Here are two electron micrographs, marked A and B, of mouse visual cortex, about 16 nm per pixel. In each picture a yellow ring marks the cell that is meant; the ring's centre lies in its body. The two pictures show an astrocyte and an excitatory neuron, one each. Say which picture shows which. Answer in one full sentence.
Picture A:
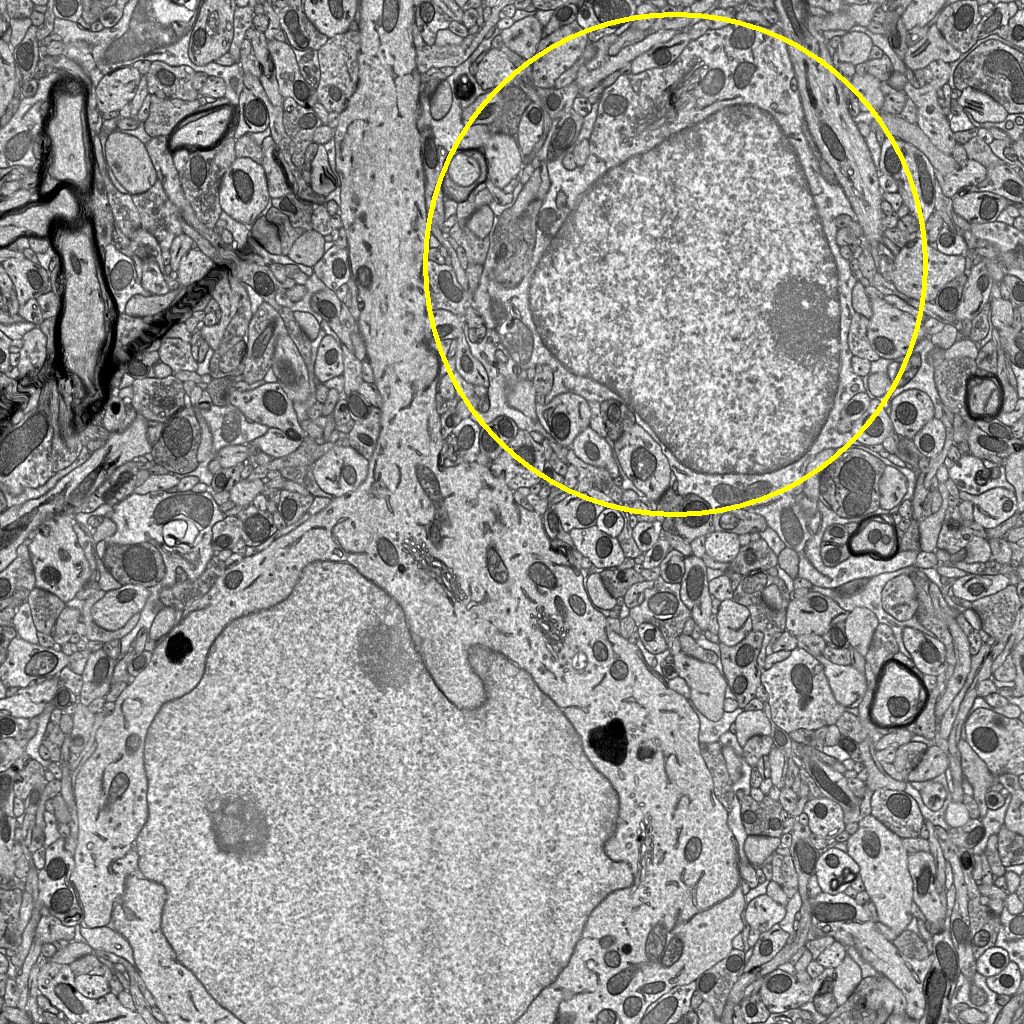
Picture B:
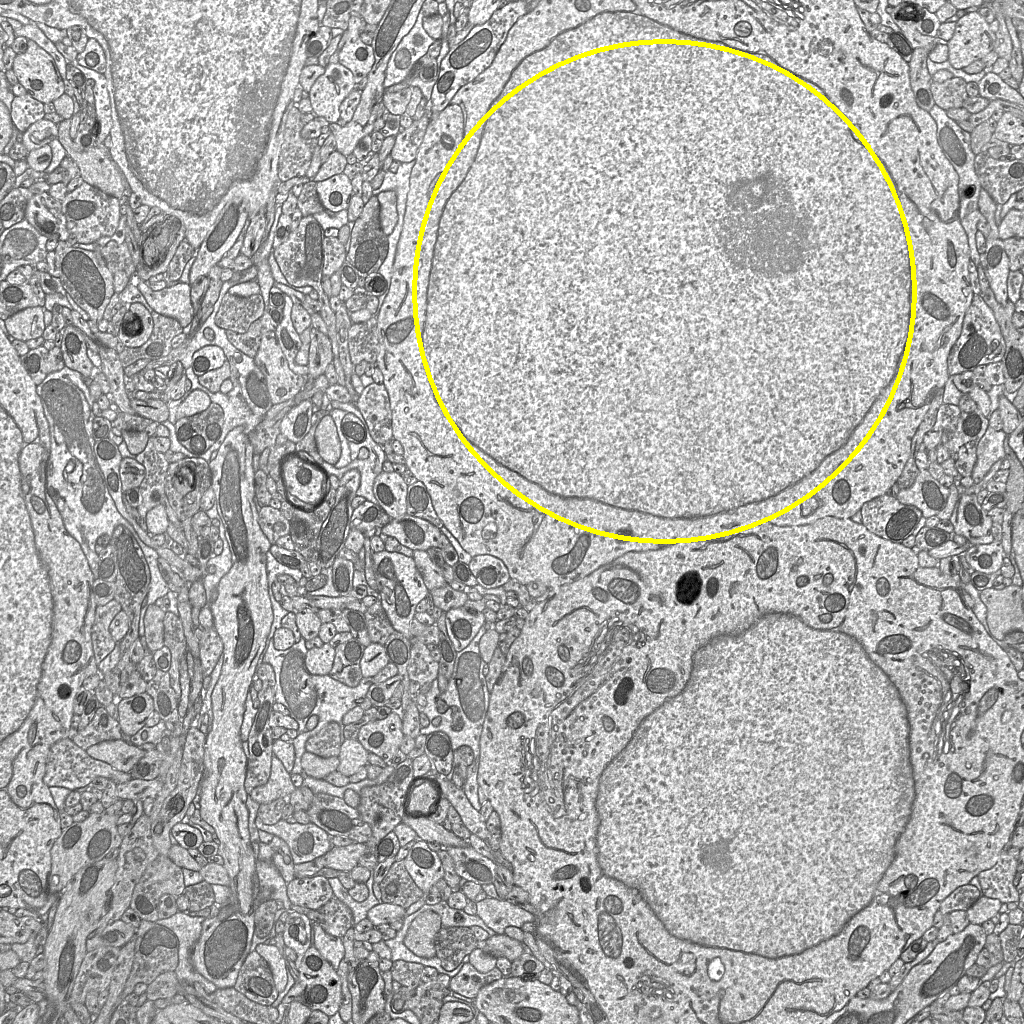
Picture A is of an astrocyte, and picture B is of an excitatory neuron.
